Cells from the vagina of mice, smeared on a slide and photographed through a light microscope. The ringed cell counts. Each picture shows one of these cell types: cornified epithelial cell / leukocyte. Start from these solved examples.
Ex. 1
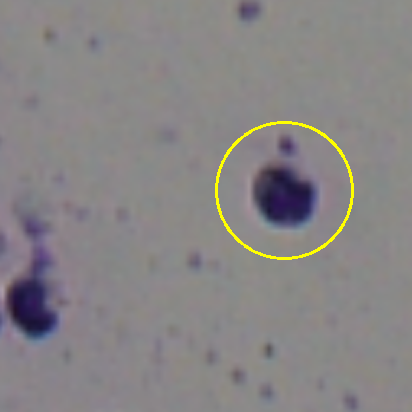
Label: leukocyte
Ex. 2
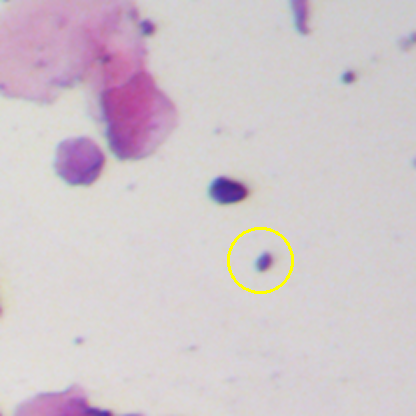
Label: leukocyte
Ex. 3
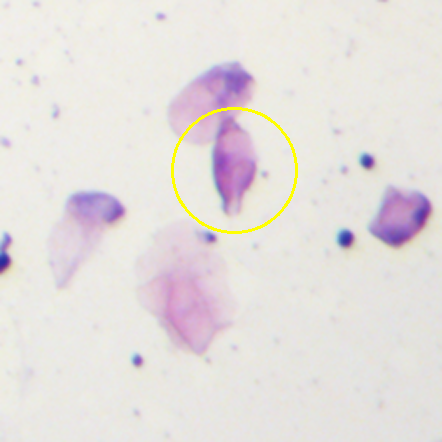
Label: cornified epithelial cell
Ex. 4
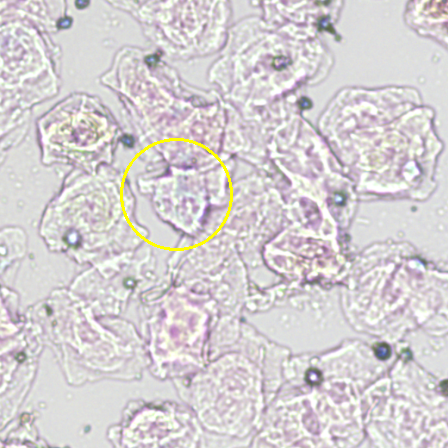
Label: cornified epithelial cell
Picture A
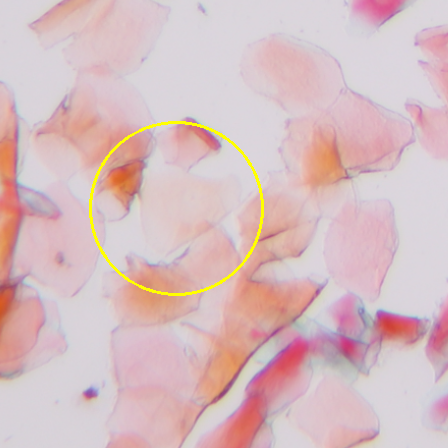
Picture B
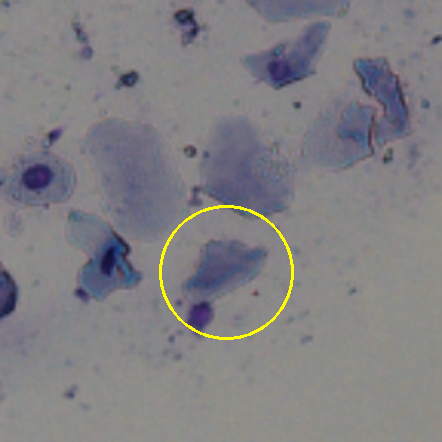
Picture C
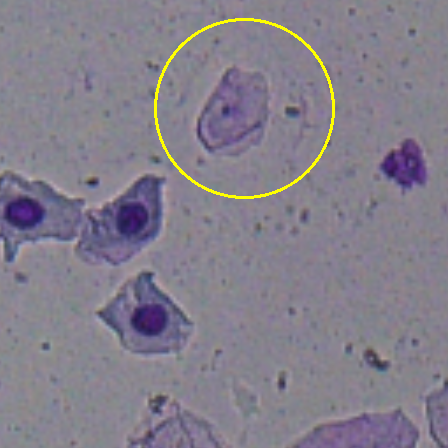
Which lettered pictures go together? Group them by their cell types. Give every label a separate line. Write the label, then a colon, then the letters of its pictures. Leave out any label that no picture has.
cornified epithelial cell: A, B, C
